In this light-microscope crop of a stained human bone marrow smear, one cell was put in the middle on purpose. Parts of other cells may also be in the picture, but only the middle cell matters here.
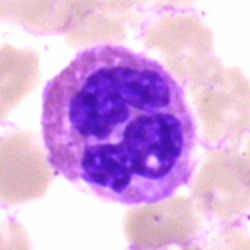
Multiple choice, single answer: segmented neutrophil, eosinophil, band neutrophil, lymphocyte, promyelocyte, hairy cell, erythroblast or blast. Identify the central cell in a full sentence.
The cell of interest, located centrally, is an eosinophil.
